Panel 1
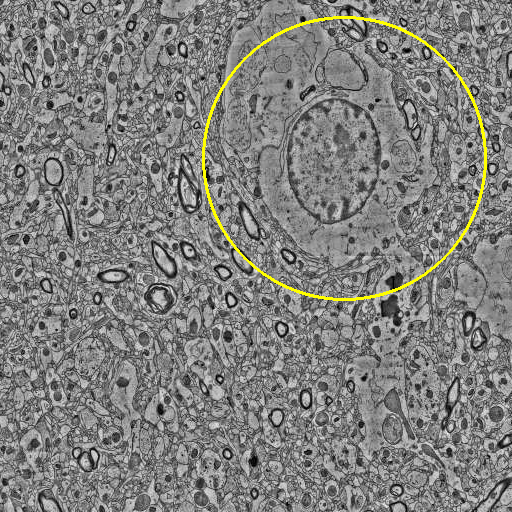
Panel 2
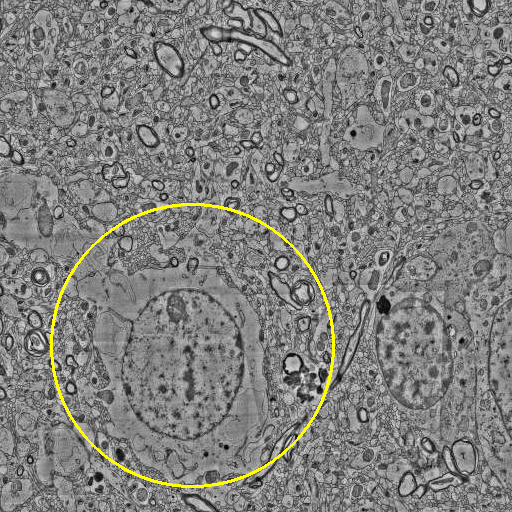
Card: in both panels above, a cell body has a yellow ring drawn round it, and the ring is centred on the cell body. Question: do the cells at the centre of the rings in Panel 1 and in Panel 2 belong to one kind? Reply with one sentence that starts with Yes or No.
Yes, the cells centred in the rings of Panel 1 and Panel 2 are one kind of cell.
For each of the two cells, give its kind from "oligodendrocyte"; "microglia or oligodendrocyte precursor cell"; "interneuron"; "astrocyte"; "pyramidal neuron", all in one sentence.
In each picture the ringed cell is an astrocyte.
